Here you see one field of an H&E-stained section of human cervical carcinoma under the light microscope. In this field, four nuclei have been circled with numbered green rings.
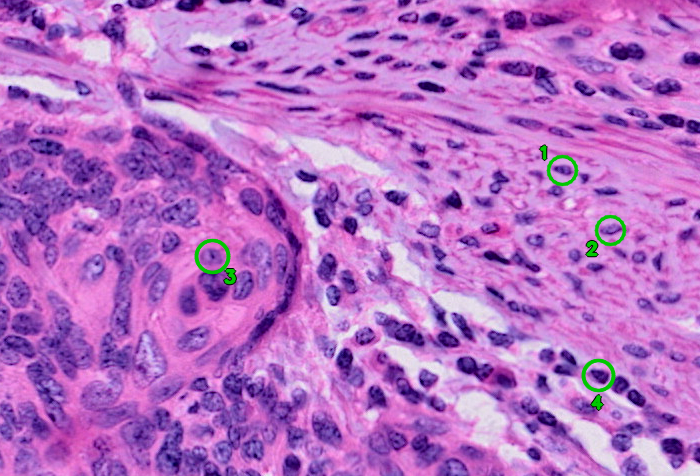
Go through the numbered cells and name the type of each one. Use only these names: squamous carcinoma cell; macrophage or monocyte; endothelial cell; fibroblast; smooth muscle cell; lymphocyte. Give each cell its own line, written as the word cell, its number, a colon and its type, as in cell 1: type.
cell 1: fibroblast
cell 2: smooth muscle cell
cell 3: squamous carcinoma cell
cell 4: lymphocyte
